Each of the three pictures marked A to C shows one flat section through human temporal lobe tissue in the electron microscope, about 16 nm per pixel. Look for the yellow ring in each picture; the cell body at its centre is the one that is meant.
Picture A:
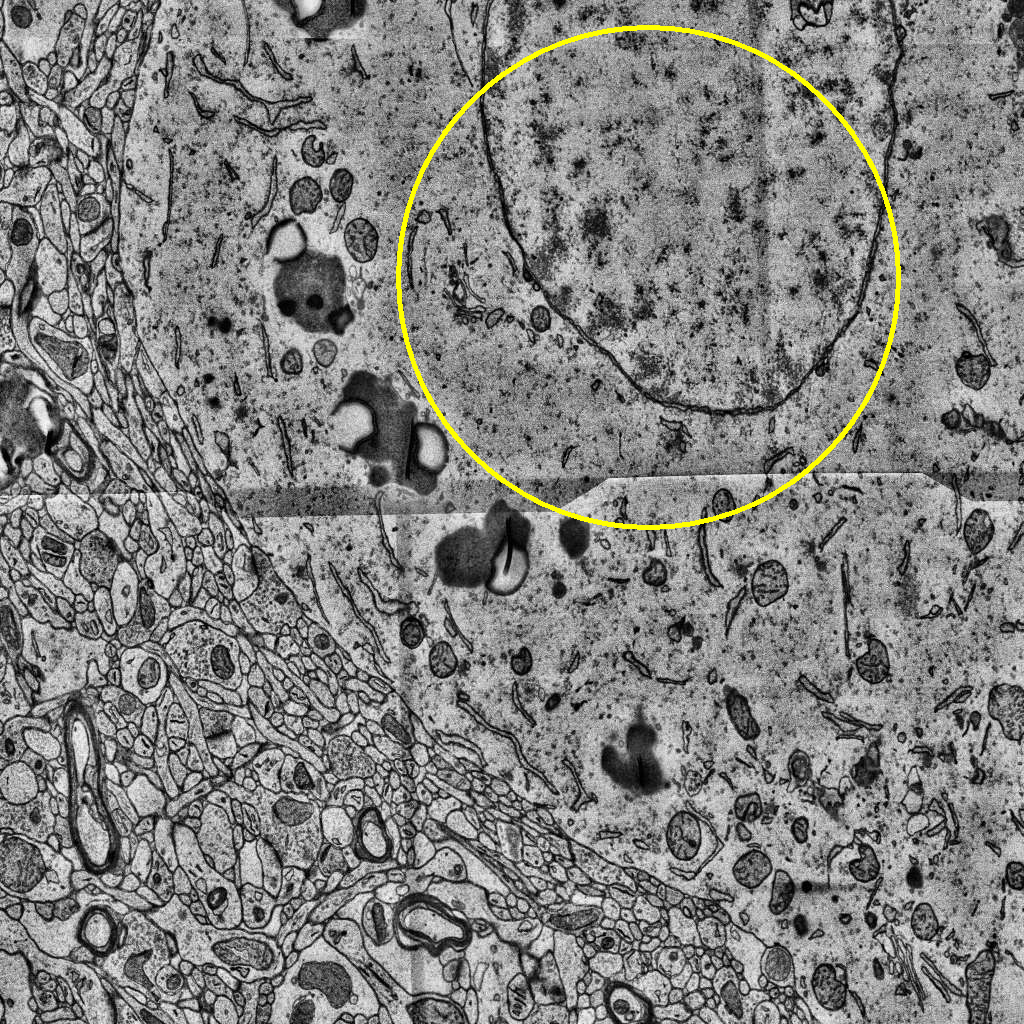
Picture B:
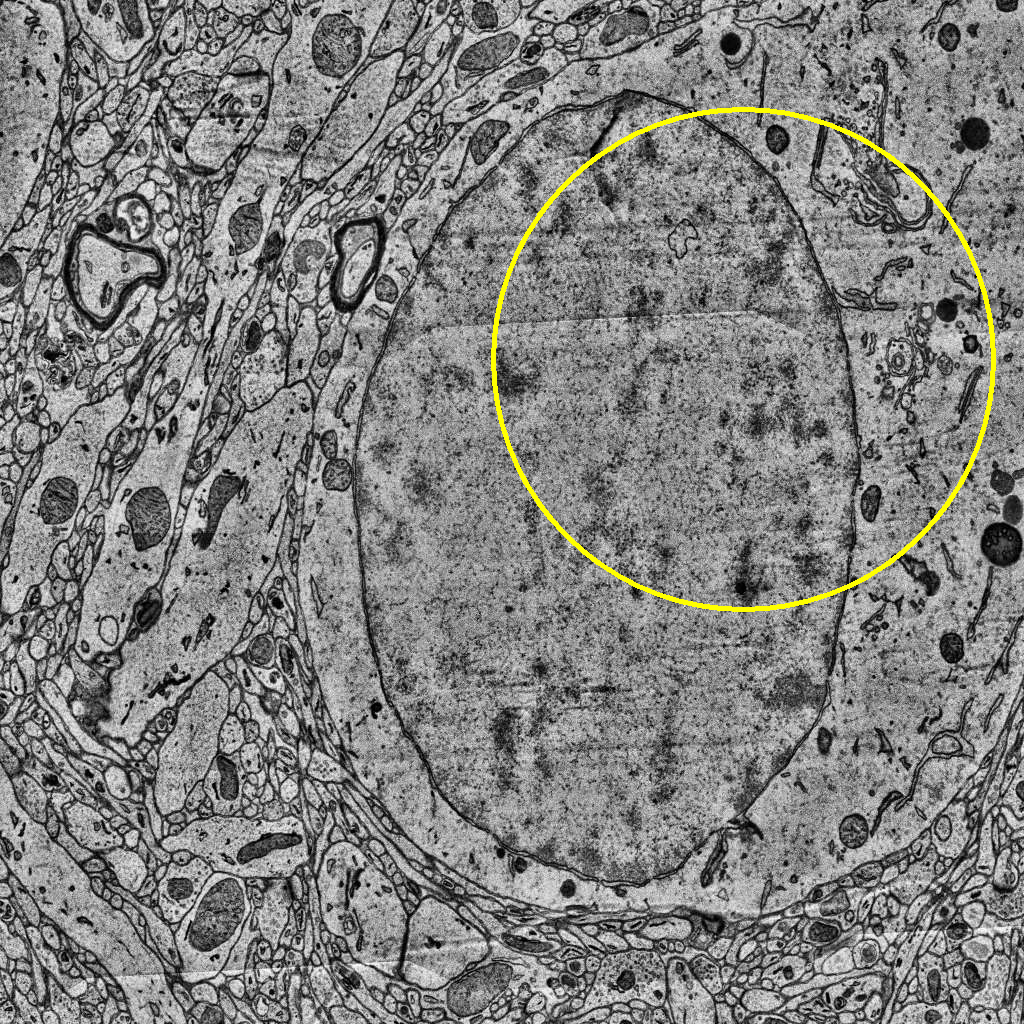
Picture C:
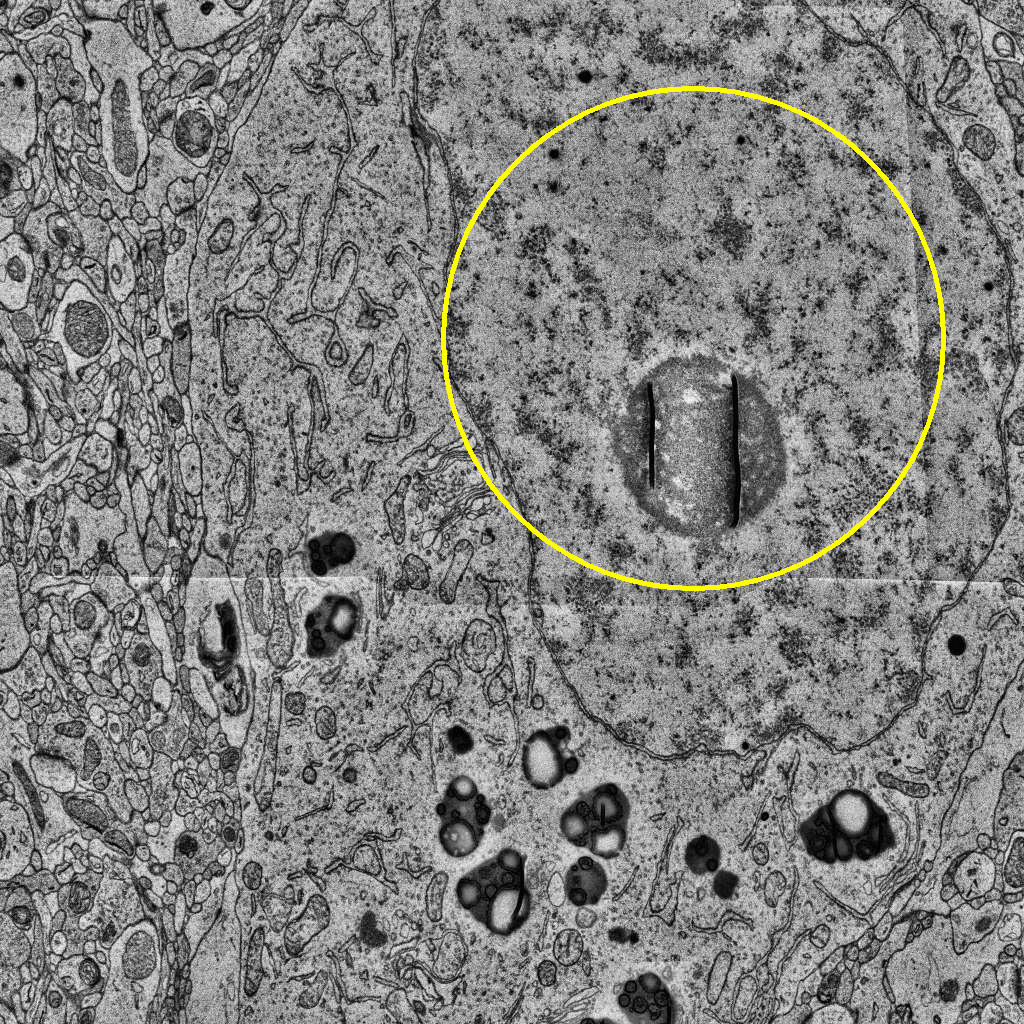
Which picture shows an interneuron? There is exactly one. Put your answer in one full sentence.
It is picture C that shows the interneuron.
